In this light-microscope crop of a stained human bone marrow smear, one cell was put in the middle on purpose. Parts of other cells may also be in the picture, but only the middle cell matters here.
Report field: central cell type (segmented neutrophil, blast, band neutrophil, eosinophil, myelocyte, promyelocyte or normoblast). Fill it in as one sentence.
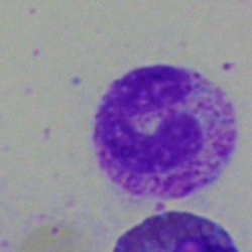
Among the cells in view, the one in the middle is a band neutrophil.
